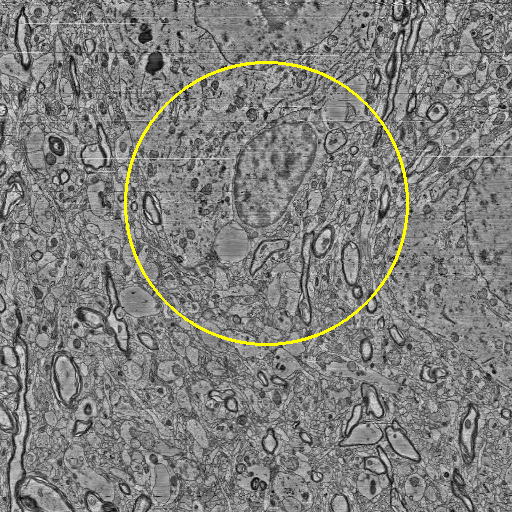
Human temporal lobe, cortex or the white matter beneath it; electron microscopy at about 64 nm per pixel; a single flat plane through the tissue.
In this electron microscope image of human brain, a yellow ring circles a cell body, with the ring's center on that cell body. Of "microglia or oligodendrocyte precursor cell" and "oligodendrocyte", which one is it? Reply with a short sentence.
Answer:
It is an oligodendrocyte at the center of the ring.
